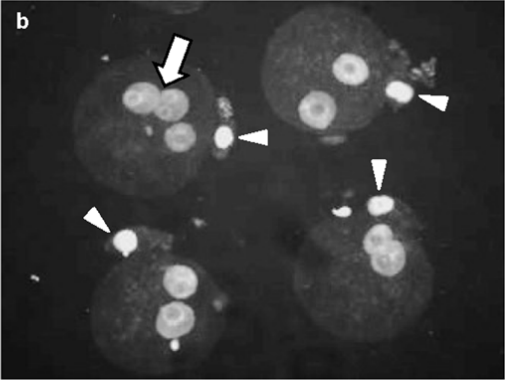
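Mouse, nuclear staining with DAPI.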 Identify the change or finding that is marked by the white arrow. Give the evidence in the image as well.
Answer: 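The cell marked by the arrow holds three round nuclei. The other cells each hold two round nuclei.
Polyspermic.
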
